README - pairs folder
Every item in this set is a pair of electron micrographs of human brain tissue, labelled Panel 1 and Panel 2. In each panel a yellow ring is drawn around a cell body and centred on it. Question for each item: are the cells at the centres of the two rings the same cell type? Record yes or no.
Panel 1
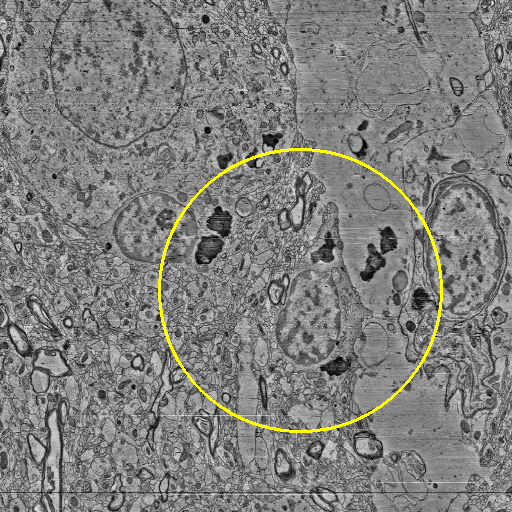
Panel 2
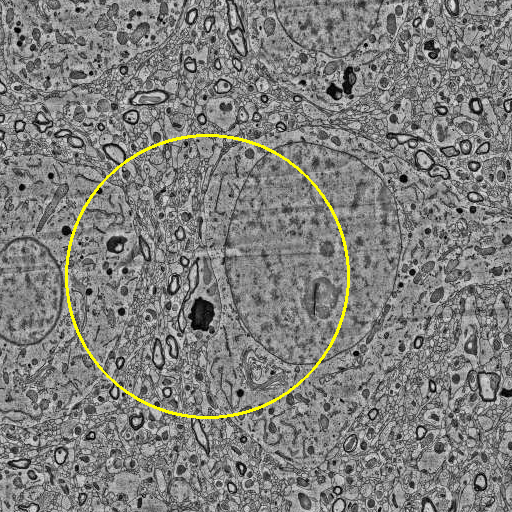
yes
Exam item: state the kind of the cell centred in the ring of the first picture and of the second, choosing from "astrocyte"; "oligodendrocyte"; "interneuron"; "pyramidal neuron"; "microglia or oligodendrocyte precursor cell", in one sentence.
The cell in the first picture is an oligodendrocyte, and so is the one in the second.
